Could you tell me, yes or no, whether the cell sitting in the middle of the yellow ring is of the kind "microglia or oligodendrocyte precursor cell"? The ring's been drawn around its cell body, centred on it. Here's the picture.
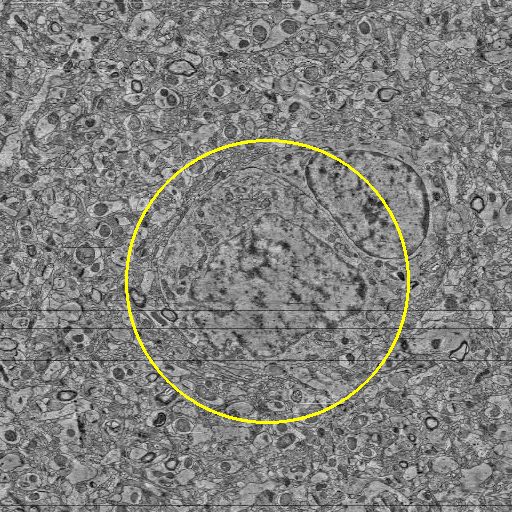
No, it is of another kind.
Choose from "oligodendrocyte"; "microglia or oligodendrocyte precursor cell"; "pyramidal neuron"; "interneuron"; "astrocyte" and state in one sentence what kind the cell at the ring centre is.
Here, the ring is centred on an interneuron instead.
